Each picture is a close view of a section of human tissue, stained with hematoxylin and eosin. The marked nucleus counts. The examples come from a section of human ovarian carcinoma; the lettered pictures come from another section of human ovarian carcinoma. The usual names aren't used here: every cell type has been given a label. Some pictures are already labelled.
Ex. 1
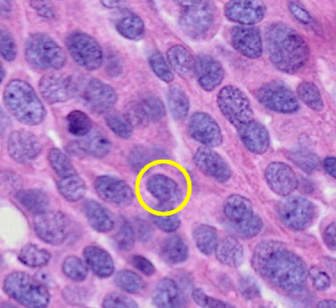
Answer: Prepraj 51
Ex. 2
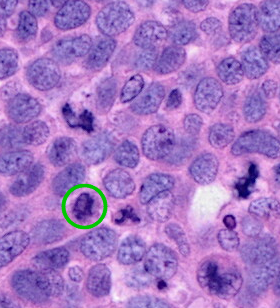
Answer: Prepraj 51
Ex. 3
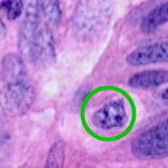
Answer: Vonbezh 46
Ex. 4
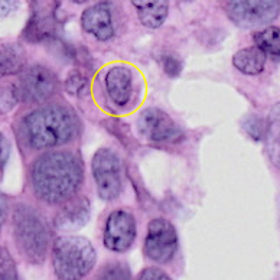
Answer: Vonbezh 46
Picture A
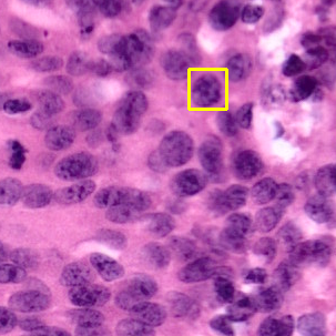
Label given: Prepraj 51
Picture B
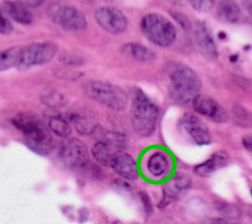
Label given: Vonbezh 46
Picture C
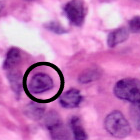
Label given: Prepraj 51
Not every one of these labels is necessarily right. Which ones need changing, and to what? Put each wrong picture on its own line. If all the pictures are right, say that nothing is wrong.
Wrong: C (Prepraj 51); correct: Vonbezh 46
